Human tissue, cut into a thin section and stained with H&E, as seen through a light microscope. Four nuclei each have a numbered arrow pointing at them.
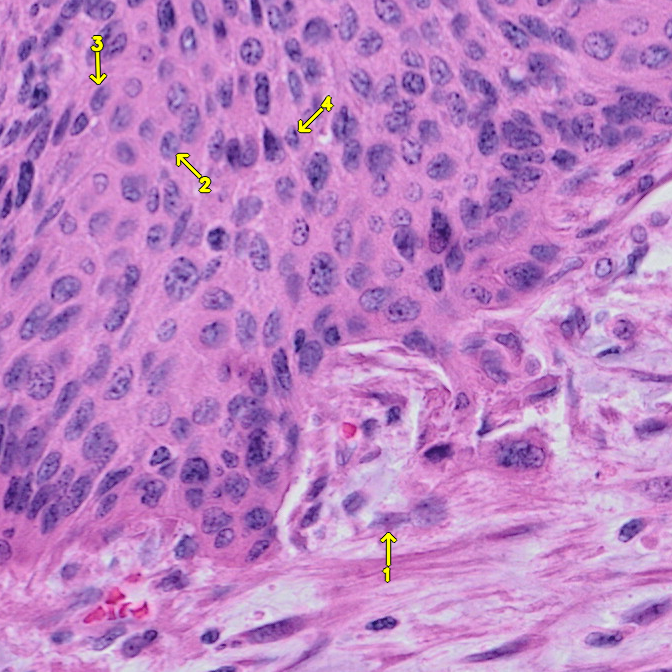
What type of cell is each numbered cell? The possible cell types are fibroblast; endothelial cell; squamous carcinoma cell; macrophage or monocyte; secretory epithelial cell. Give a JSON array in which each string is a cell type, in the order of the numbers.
["fibroblast", "squamous carcinoma cell", "squamous carcinoma cell", "squamous carcinoma cell"]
